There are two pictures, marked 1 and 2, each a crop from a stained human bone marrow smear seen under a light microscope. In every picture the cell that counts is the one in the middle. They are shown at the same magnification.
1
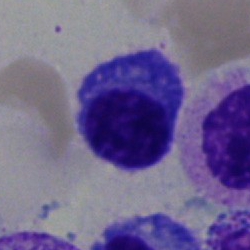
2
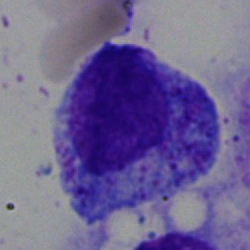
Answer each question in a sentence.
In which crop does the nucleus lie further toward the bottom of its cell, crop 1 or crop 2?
In crop 1 the nucleus is shifted more toward the bottom.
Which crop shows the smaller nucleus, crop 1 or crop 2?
Crop 1 shows the smaller nucleus, since that in crop 2 covers about 2 times as much area.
